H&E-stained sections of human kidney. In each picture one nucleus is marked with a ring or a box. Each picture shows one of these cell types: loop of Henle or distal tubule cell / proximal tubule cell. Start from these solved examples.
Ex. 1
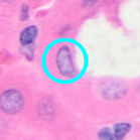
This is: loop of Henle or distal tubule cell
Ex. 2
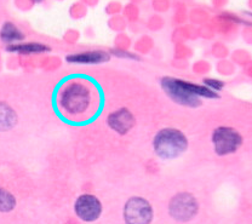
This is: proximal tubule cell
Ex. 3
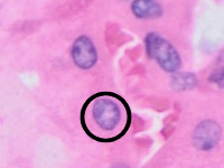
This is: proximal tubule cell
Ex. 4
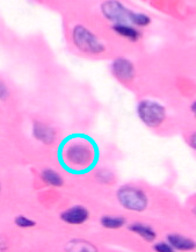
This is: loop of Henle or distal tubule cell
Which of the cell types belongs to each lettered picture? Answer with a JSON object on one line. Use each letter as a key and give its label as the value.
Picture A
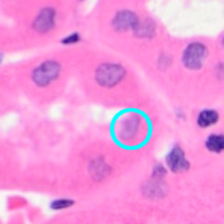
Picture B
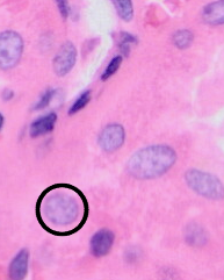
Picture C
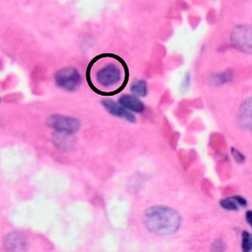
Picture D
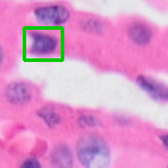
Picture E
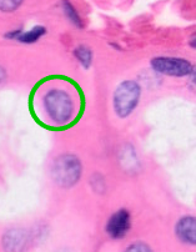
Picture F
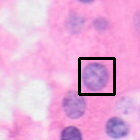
{"A": "proximal tubule cell", "B": "proximal tubule cell", "C": "proximal tubule cell", "D": "loop of Henle or distal tubule cell", "E": "loop of Henle or distal tubule cell", "F": "proximal tubule cell"}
